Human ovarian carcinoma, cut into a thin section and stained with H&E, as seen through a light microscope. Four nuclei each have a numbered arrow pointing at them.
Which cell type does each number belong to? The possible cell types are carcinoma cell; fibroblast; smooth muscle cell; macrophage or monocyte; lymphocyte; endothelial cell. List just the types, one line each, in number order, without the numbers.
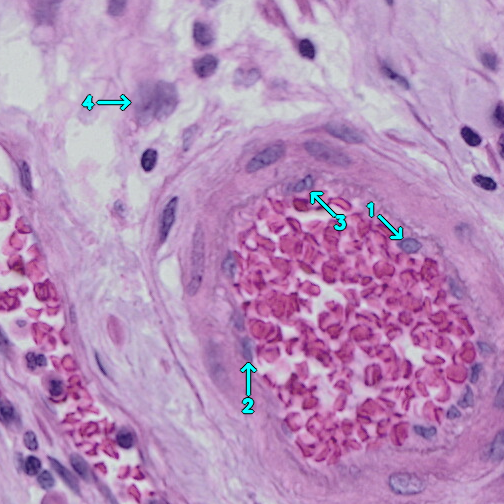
endothelial cell
endothelial cell
endothelial cell
fibroblast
